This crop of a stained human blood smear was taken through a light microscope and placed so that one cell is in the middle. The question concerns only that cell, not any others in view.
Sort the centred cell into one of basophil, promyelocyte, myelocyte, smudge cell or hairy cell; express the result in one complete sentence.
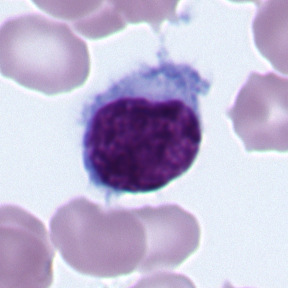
The target cell in the middle of the crop is a hairy cell.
